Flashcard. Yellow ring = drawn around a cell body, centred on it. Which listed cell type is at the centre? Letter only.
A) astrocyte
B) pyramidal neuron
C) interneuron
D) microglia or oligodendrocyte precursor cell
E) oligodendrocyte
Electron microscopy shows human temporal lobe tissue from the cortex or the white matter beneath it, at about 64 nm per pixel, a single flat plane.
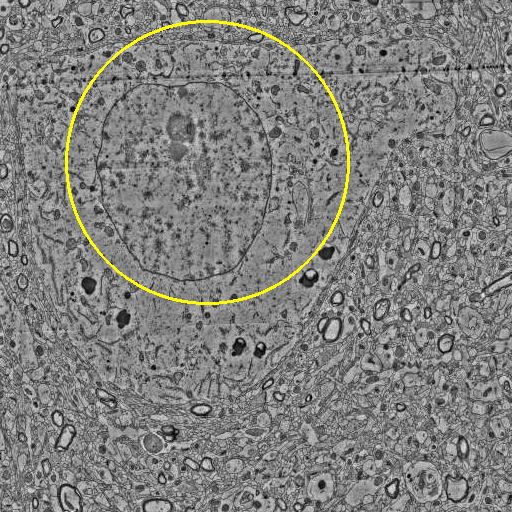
B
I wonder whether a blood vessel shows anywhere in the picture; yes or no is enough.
No.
